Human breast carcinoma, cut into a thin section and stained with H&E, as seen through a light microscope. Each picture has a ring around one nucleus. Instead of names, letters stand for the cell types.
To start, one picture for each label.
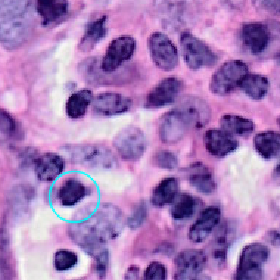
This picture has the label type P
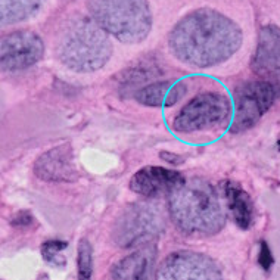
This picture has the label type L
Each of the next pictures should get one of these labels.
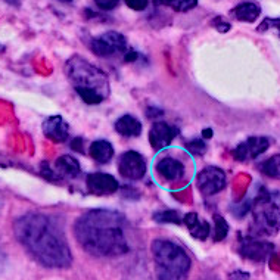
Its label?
type P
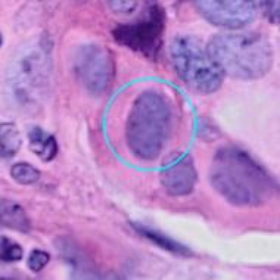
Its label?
type L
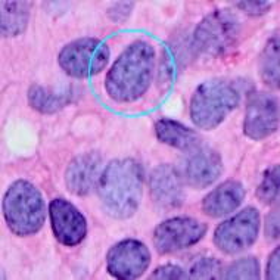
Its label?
type L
